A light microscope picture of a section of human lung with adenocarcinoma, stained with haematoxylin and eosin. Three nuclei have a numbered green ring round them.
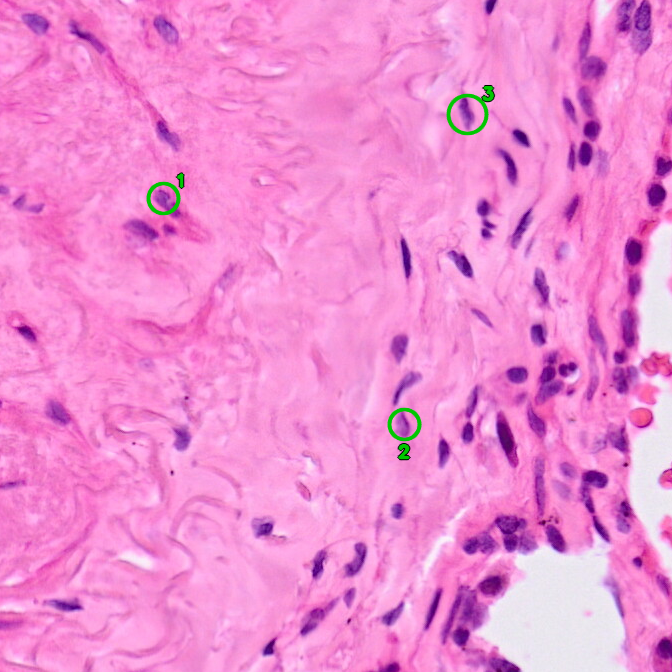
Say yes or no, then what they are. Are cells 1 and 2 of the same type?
No, a smooth muscle cell or pericyte is what cell 1 is, and a fibroblast is what cell 2 is.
